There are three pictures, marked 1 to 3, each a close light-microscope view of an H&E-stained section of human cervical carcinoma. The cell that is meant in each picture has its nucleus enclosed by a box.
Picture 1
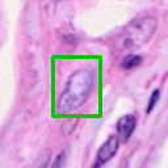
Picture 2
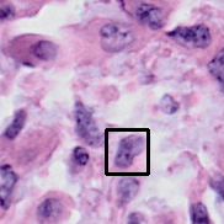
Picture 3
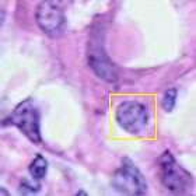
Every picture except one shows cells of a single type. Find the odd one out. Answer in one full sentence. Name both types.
The others show “macrophages or monocytes”, but picture 1 shows an endothelial cell.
